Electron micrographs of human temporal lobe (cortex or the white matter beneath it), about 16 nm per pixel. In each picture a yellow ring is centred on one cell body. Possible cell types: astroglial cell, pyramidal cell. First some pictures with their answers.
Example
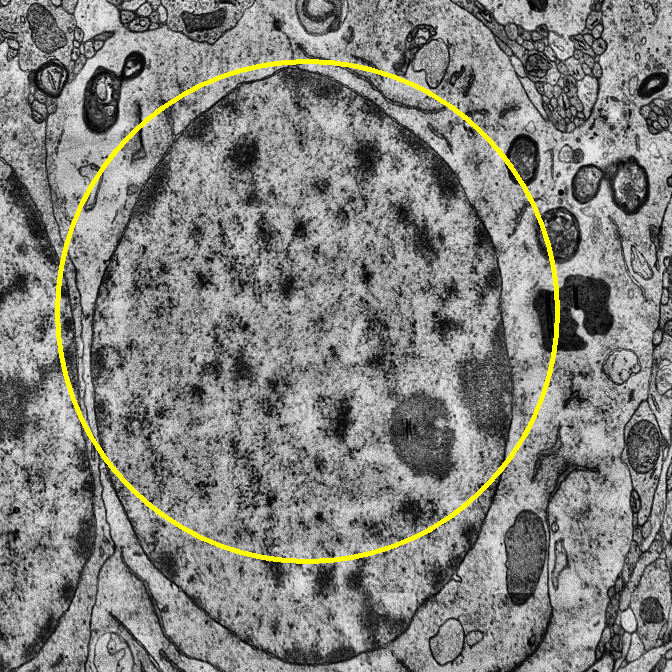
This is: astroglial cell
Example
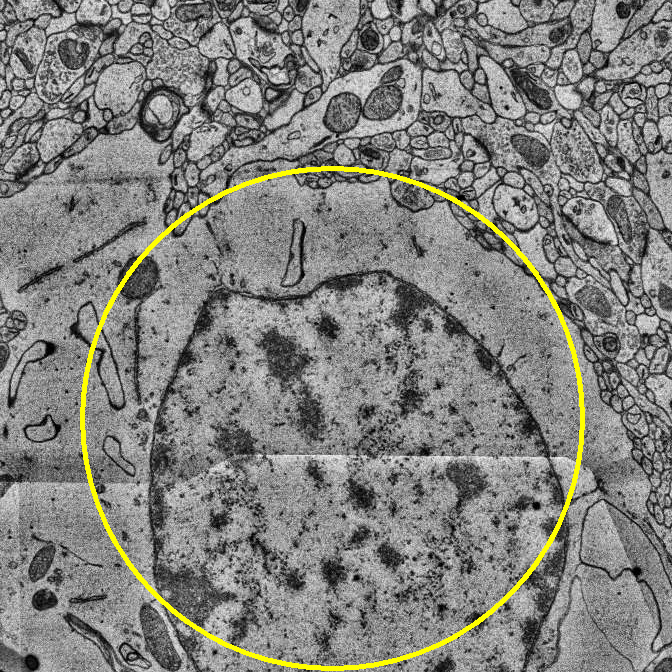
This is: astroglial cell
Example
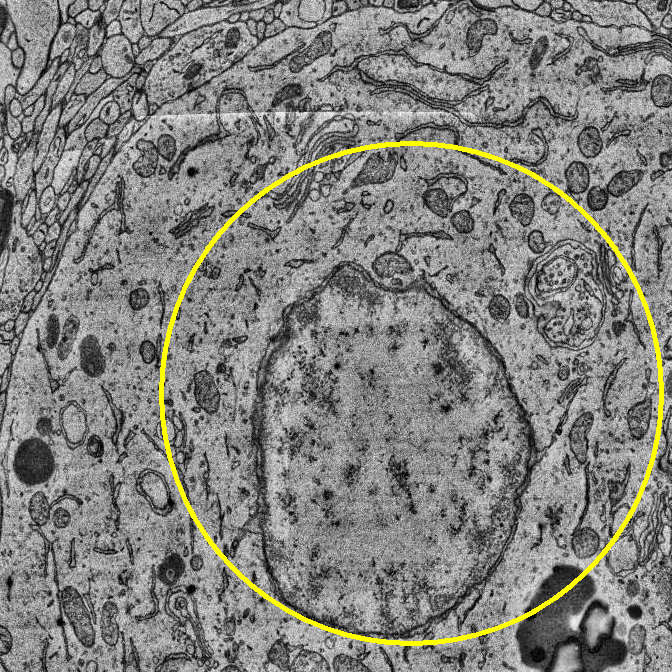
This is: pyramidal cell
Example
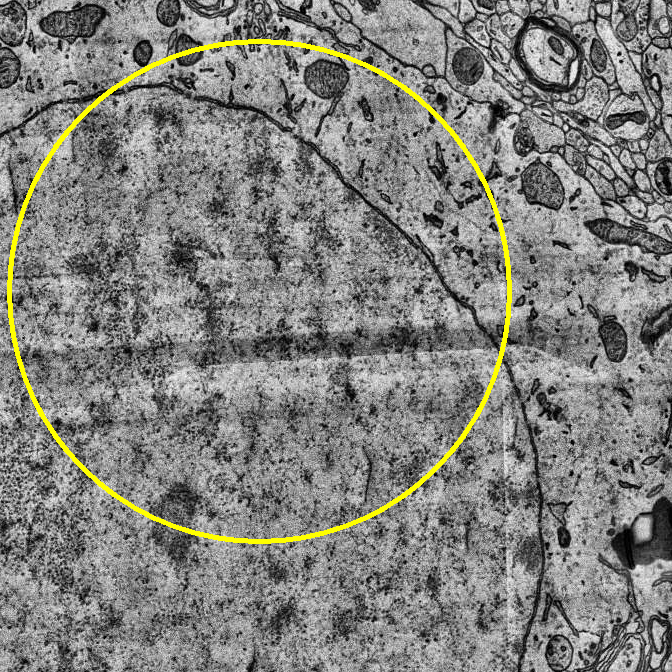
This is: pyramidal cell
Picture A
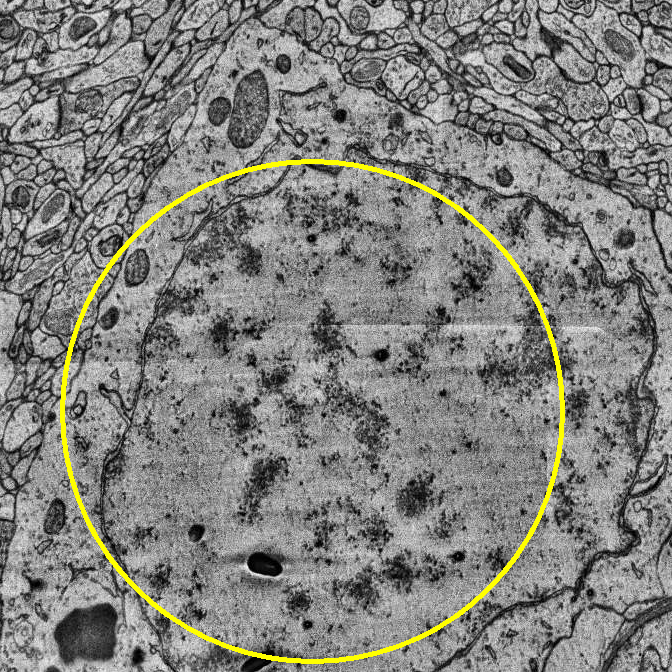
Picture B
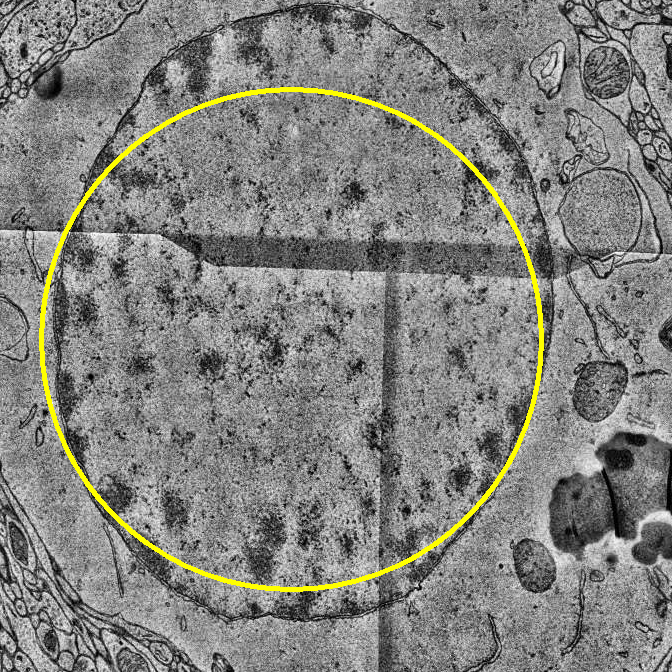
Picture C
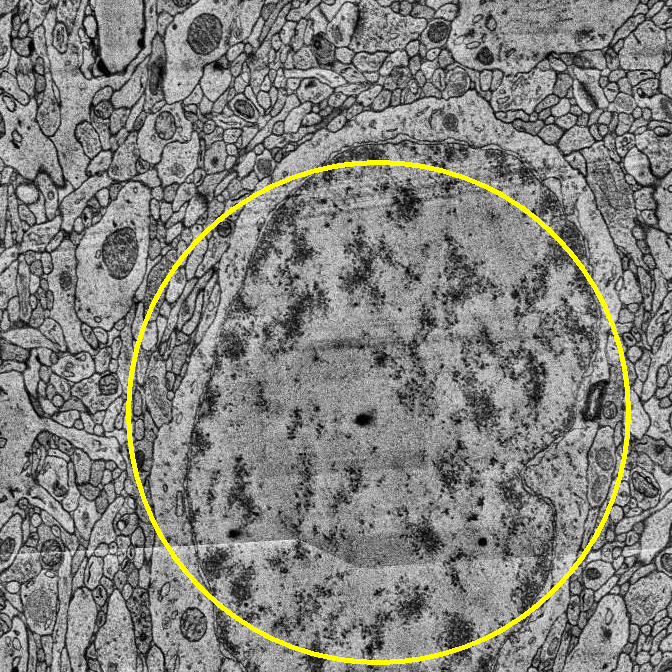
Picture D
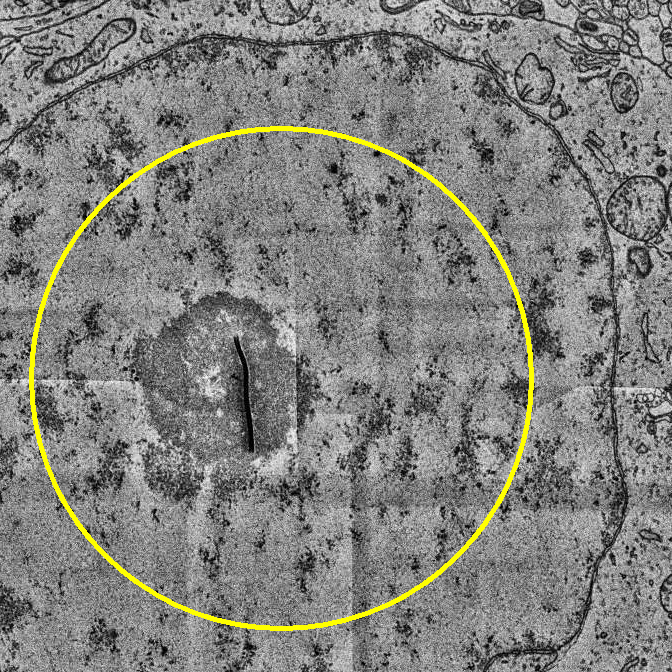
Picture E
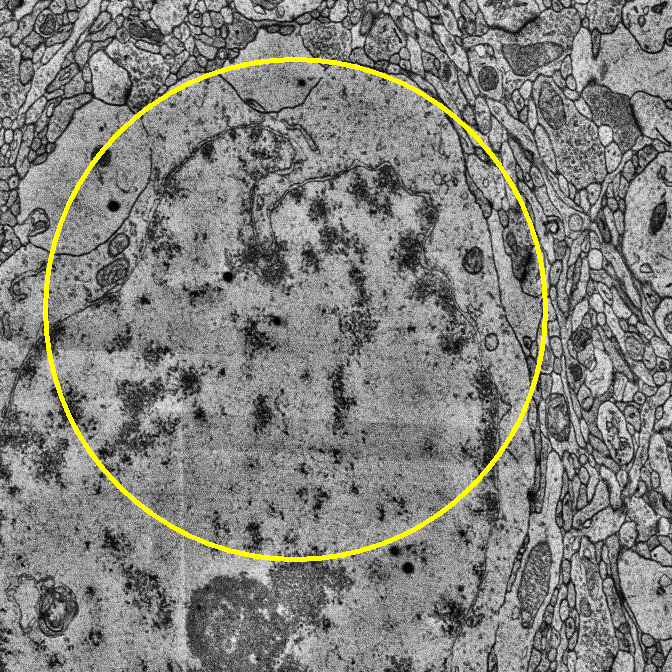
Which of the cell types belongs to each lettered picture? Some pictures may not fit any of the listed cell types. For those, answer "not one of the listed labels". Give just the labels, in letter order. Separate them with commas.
not one of the listed labels, astroglial cell, not one of the listed labels, pyramidal cell, not one of the listed labels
